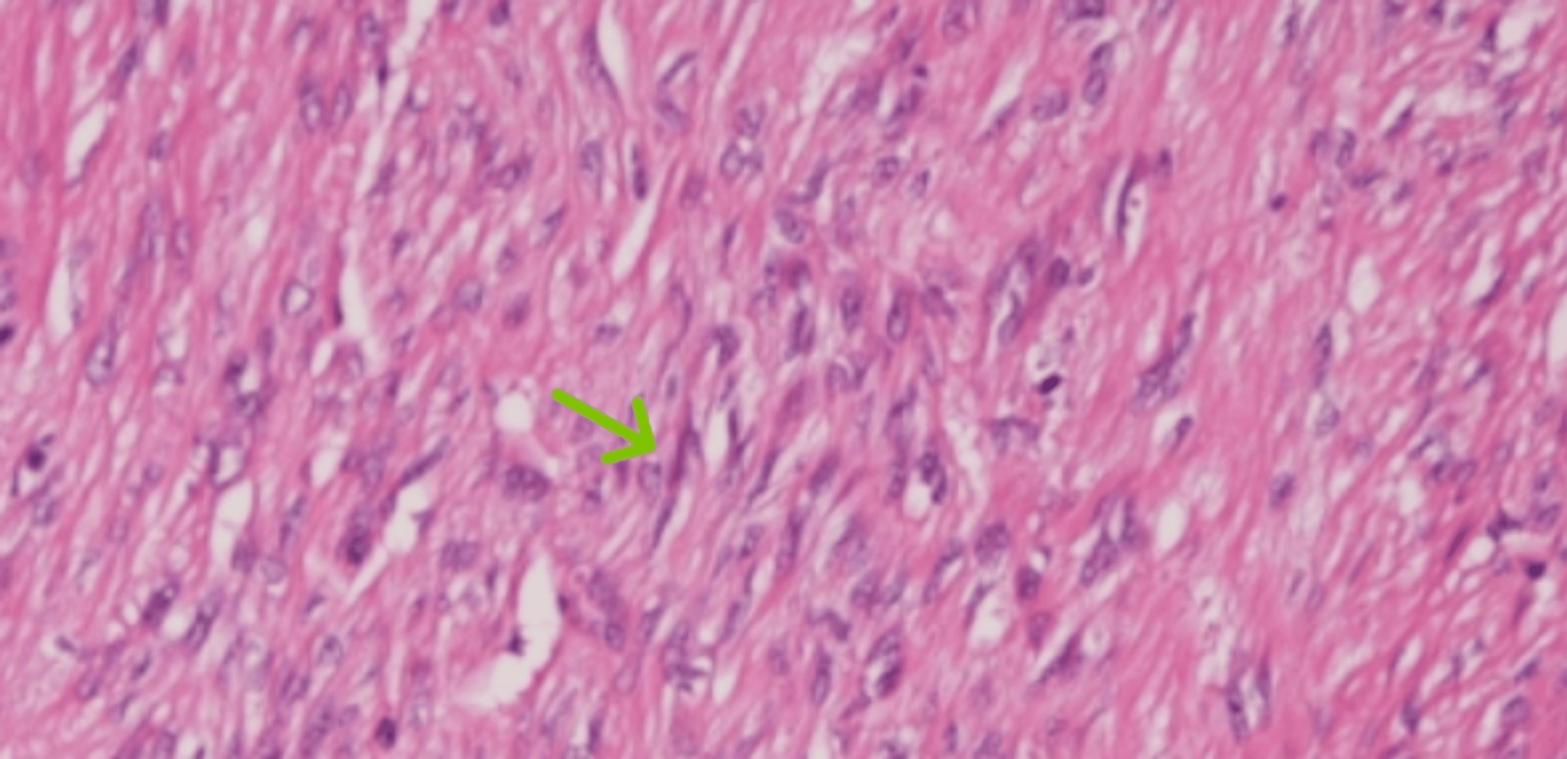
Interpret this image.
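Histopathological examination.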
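This is a densely cellular tumor made of spindle-shaped cells packed closely together in a pink fibrillary background. The nuclei are elongated to oval, purple, and somewhat variable in size and shape, with a few darker ones among them. The cytoplasm is pale pink, ill-defined and drawn out at the ends, so that the cell borders merge with one another. The cells run in bundles that mostly slant in the same direction, forming short fascicles whose orientation shifts slightly across the field. Scattered clear, empty-looking spaces and small vacuoles lie between the cells.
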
